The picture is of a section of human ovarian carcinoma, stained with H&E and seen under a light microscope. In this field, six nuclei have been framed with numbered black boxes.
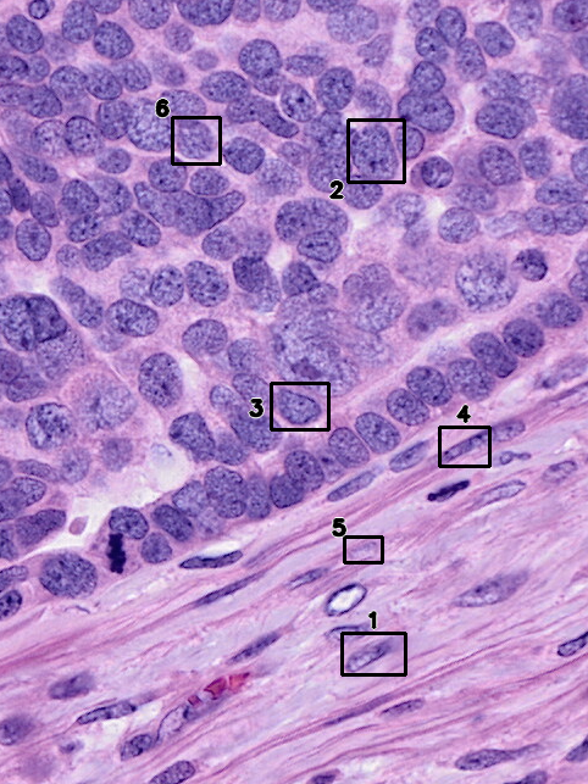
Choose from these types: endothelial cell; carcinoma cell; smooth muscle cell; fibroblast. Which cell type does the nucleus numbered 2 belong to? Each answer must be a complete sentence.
The cell tagged with 2 in this tissue section is a carcinoma cell.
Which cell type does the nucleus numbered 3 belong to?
The marked nucleus 3 is that of a carcinoma cell.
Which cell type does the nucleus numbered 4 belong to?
What the number 4 marks in this field is a fibroblast.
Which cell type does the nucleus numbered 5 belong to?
Cell 5 of the marked set is a fibroblast.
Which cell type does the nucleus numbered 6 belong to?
The cell pointed out by number 6 is a carcinoma cell.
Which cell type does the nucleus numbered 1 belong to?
In this section, the cell numbered 1 is a fibroblast.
